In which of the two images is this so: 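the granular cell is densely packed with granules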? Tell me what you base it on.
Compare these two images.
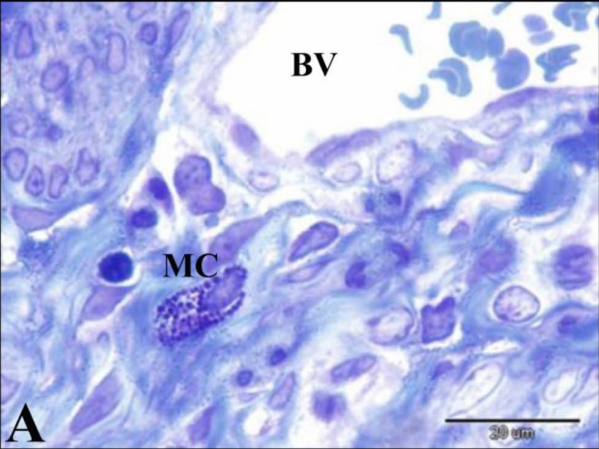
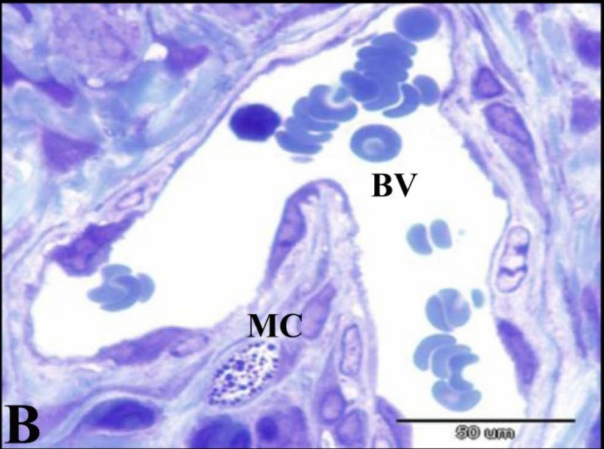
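Second image: the granular cell beside the vessel shows granules more loosely scattered with paler spaces between. First image: the granular cell is crowded with dark purple granules.
The first image.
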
